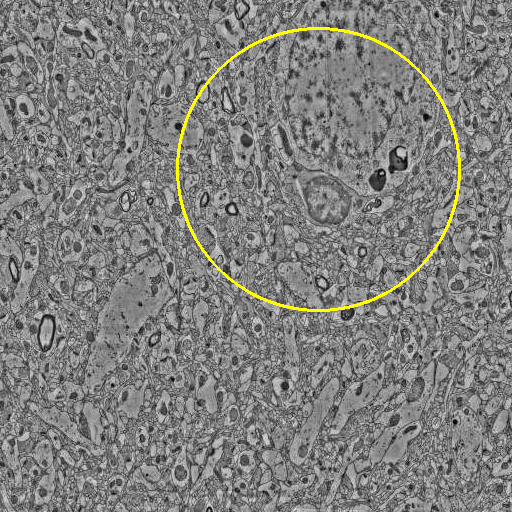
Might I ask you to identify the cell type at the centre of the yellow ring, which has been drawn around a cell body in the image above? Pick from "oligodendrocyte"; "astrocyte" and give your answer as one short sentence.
The centre of the ring falls on an oligodendrocyte.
